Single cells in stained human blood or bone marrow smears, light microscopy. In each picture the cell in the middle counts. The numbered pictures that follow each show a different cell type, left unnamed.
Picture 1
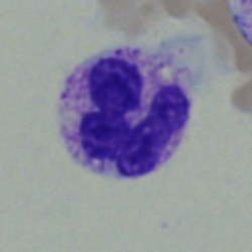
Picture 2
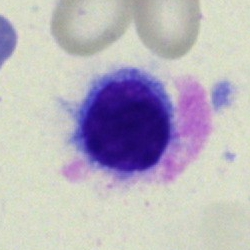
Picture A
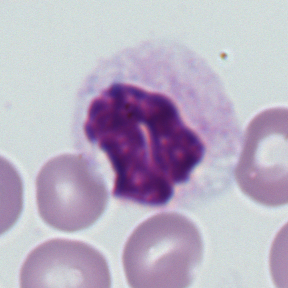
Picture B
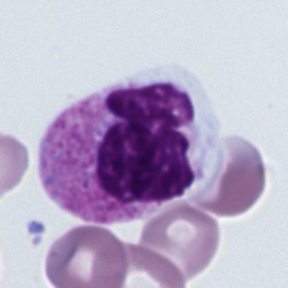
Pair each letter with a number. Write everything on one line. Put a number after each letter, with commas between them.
A 1, B 1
